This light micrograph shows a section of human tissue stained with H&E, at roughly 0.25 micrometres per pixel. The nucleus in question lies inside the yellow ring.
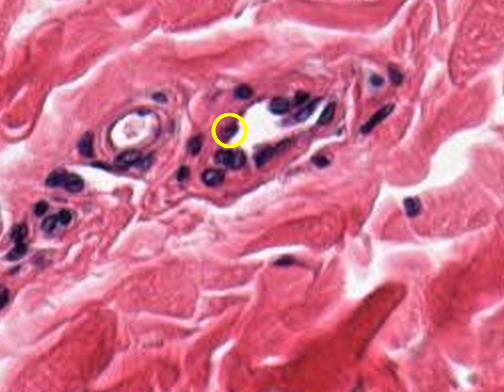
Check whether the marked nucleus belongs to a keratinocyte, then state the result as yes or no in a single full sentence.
No, the marked nucleus has its place in a supporting cell rather than in a keratinocyte.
